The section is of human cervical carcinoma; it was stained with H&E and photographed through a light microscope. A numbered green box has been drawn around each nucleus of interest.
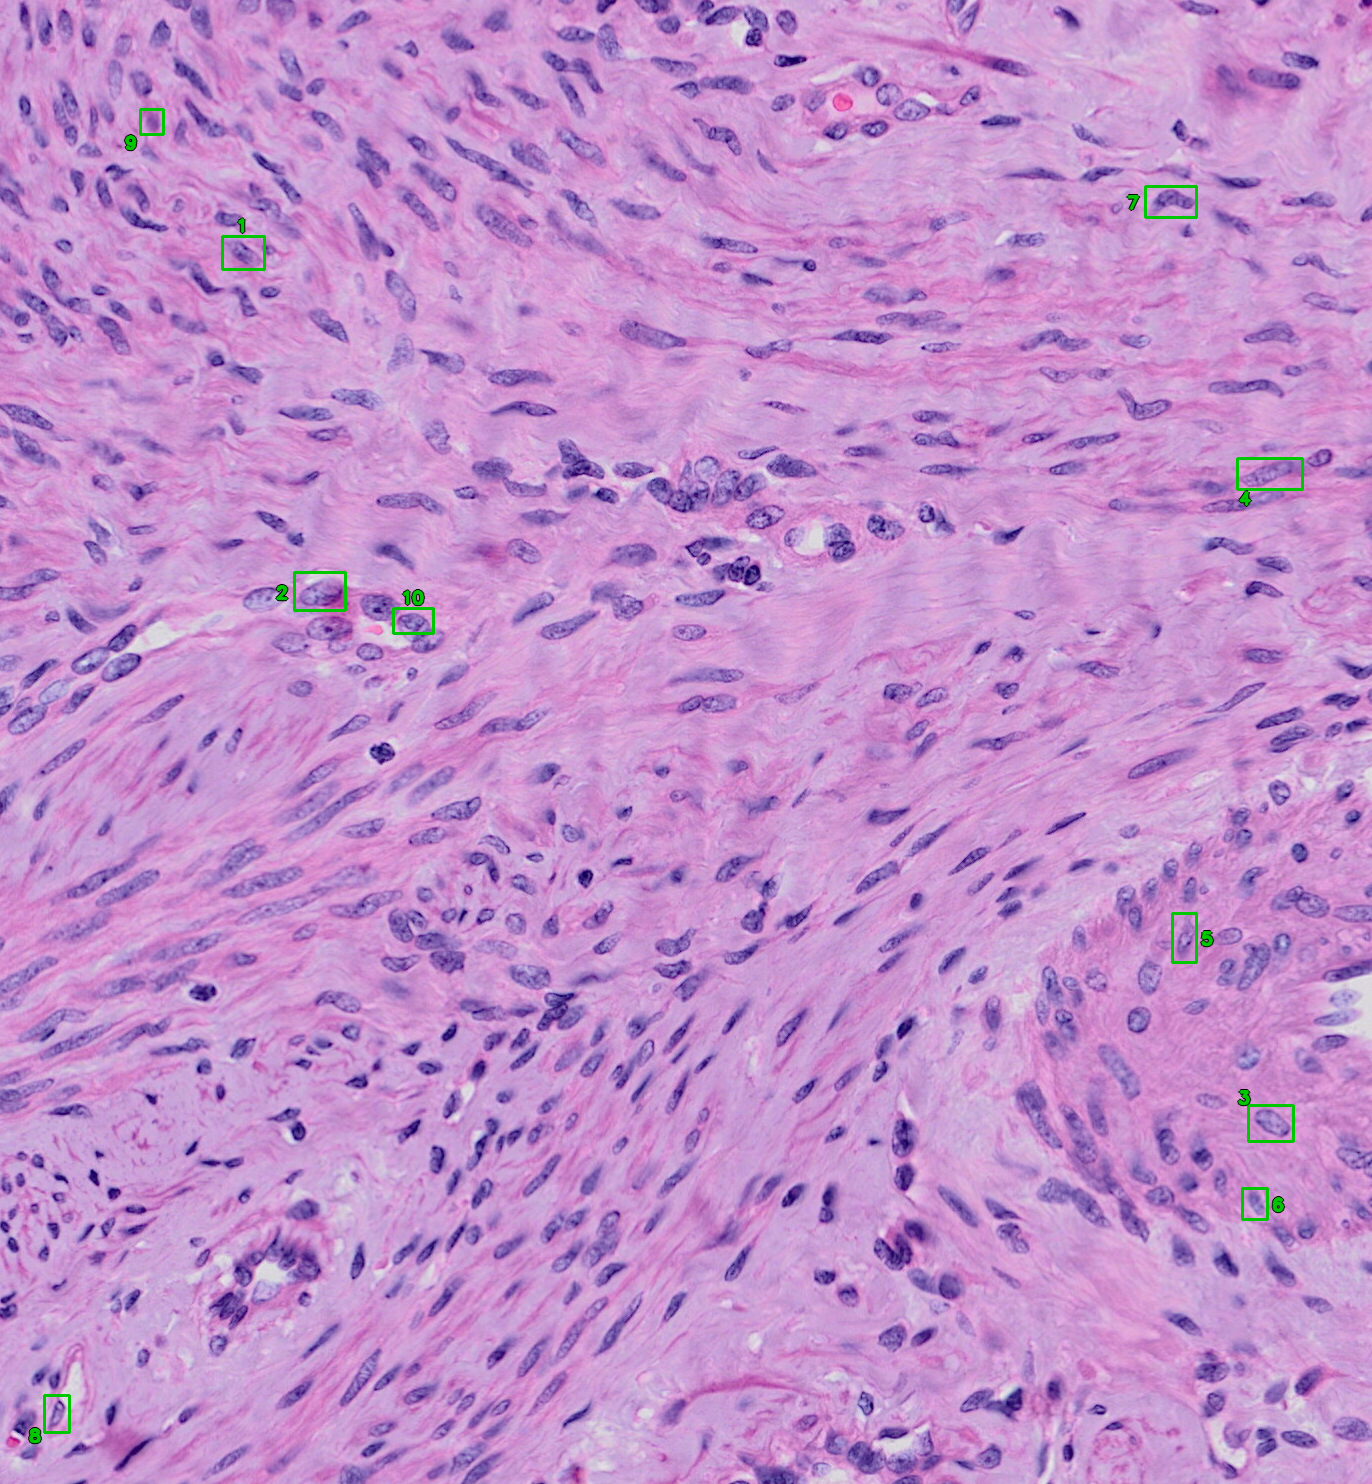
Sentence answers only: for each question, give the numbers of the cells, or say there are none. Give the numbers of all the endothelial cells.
The cells the numbers 2, 8 and 10 point to are endothelial cells.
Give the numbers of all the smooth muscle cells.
On this slide, the cells numbered 1, 3, 4, 5, 6 and 9 are smooth muscle cells.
